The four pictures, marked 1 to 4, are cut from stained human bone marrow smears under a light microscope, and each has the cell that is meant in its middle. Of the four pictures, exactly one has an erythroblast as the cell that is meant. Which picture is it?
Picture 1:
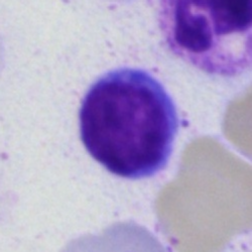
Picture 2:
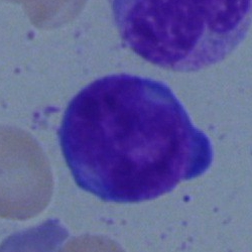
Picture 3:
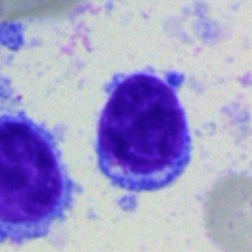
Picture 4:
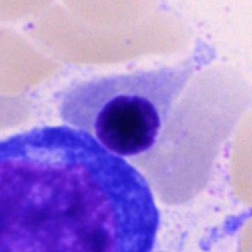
4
